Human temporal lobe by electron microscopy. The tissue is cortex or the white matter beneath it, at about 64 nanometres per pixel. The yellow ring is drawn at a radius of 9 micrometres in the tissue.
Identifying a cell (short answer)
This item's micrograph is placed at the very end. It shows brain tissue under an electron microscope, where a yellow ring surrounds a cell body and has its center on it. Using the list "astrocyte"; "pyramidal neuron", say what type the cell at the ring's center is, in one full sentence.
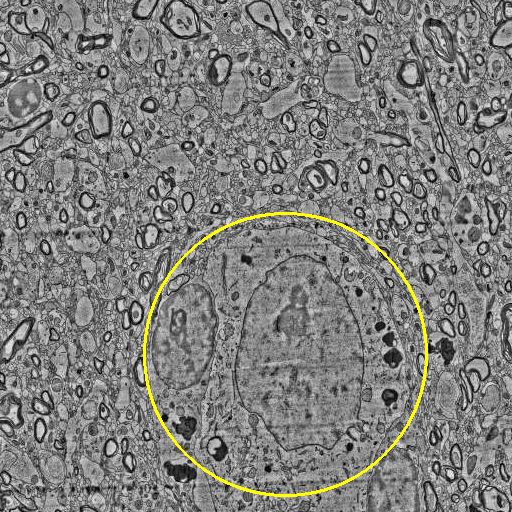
This picture shows a pyramidal neuron at the center of the yellow ring drawn on it.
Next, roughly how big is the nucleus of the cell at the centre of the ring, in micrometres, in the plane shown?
The nucleus measures about 11 by 9 micrometres in this plane.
